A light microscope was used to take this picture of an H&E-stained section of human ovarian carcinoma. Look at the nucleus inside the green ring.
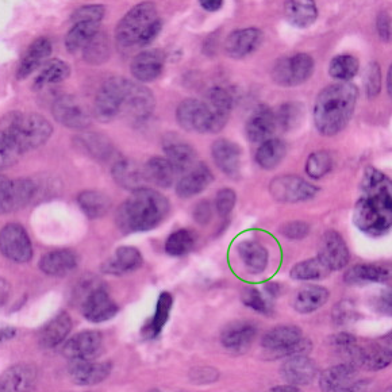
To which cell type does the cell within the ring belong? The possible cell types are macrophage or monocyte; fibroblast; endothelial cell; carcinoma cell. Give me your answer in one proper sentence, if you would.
As to its cell type, the cell within the ring is a macrophage or monocyte.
